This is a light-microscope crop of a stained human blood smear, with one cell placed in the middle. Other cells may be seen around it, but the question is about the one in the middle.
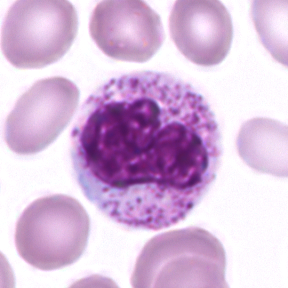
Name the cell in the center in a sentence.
Where the crop is centred, there is a band neutrophil.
